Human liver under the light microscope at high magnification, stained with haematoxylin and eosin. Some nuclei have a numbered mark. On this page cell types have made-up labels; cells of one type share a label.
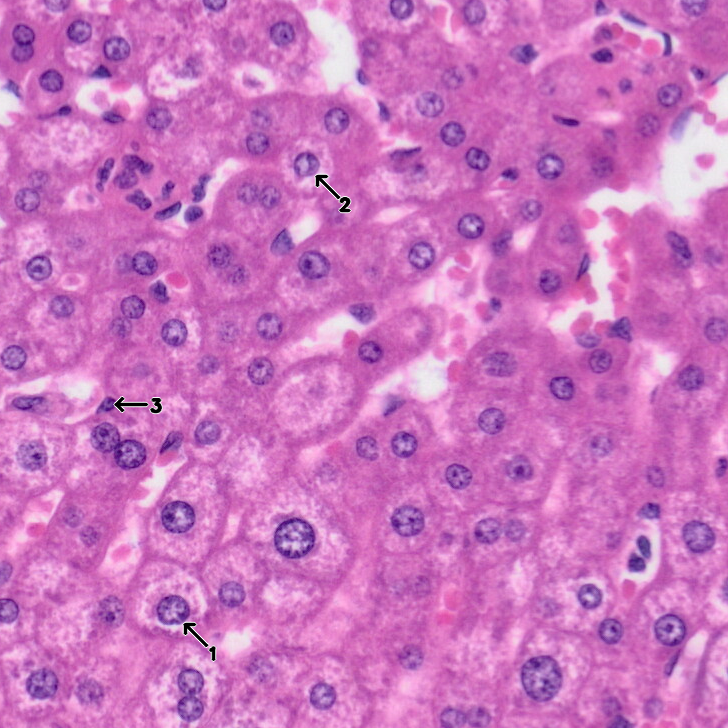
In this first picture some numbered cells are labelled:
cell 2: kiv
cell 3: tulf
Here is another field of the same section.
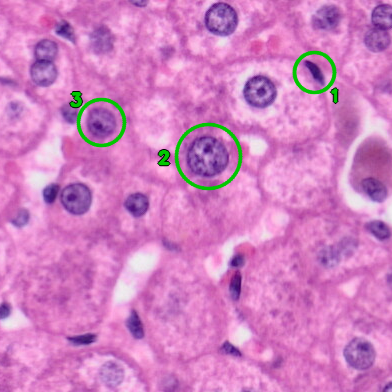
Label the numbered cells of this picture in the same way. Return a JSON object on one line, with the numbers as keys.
{"1": "tulf", "2": "kiv", "3": "kiv"}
